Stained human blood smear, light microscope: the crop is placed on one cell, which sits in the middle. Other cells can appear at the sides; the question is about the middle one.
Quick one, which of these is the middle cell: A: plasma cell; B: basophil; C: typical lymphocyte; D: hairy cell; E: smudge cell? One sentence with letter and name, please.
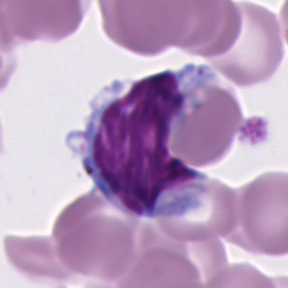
This one is option C, since the cell at the center is a typical lymphocyte.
